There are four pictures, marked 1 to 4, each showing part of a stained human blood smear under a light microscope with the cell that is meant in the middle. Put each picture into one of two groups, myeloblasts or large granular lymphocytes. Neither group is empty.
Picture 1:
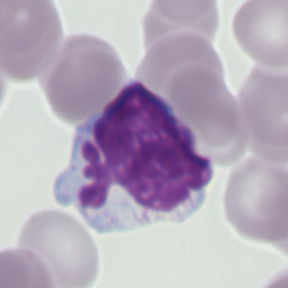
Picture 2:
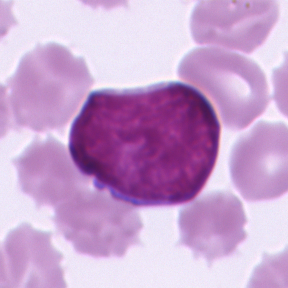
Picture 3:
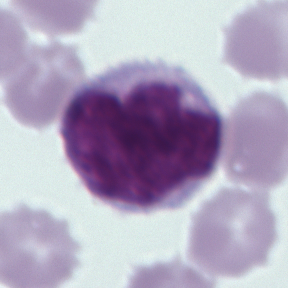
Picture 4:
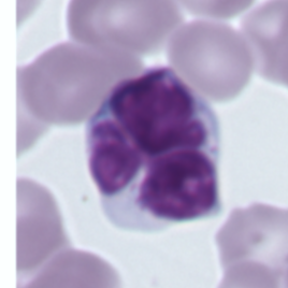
1: large granular lymphocyte
2: myeloblast
3: myeloblast
4: large granular lymphocyte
